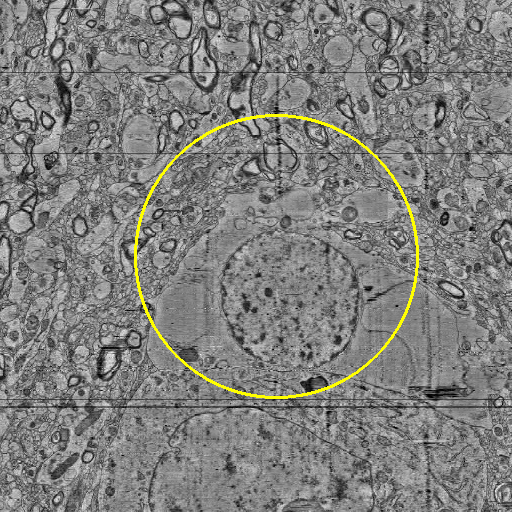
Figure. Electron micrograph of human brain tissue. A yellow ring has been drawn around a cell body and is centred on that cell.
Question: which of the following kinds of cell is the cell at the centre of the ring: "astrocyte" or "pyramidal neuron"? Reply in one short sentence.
The cell at the centre of the ring is an astrocyte.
